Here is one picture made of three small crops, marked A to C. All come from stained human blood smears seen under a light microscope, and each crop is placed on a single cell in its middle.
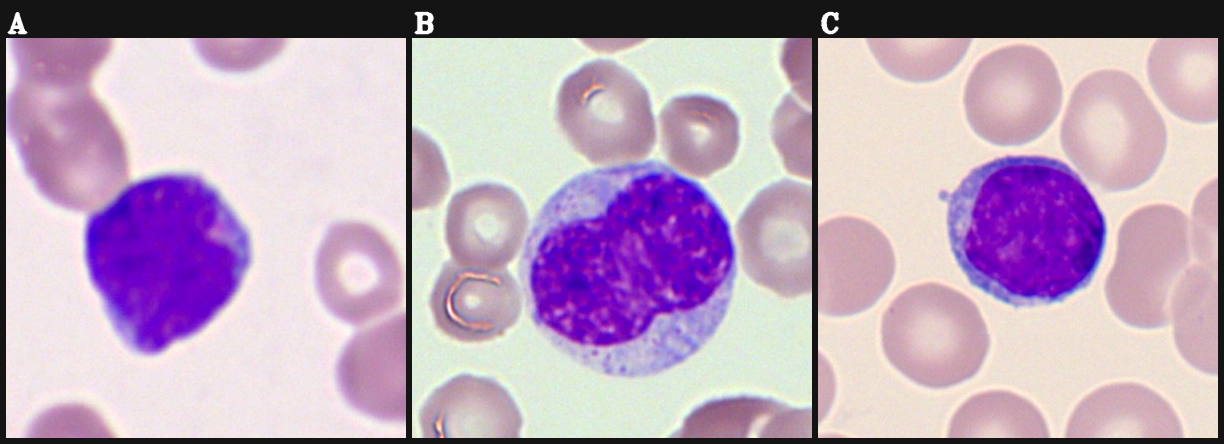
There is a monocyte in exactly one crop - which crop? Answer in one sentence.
The cell at the center of crop B is the one that is a monocyte.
